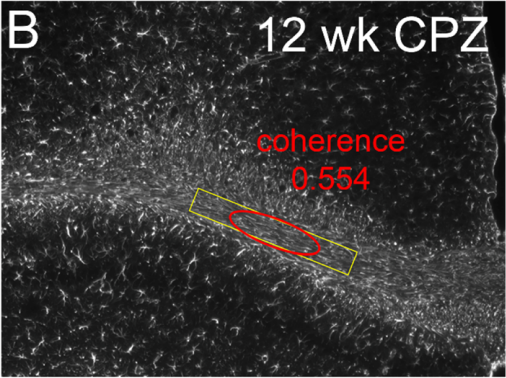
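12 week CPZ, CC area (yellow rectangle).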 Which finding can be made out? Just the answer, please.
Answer: Astrogliosis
